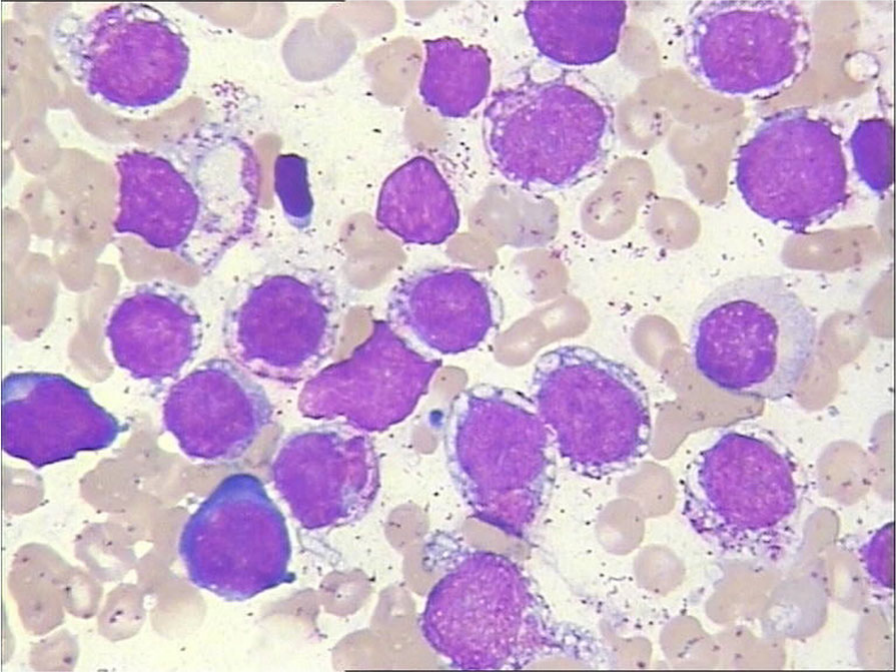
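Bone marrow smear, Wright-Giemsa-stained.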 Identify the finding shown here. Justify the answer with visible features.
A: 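Small clear round spaces lie in the cytoplasmic rim of many large cells. Because of these spaces, the cell edges look bubbly and frothy. So: vacuolated cytoplasm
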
